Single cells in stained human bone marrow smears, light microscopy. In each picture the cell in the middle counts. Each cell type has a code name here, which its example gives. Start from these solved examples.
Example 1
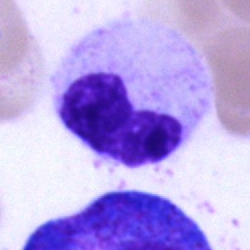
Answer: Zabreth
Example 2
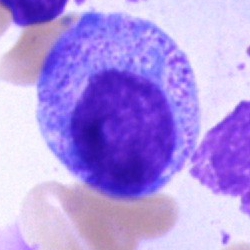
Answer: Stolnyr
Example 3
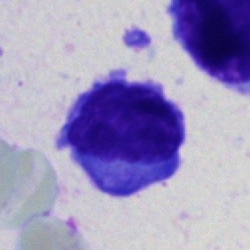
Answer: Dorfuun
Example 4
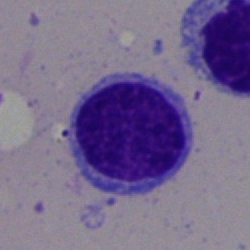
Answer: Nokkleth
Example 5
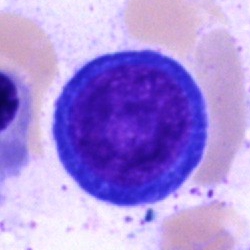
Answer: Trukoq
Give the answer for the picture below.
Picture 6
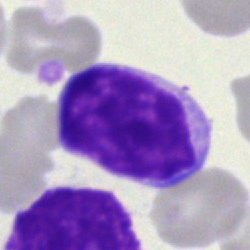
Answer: Nokkleth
